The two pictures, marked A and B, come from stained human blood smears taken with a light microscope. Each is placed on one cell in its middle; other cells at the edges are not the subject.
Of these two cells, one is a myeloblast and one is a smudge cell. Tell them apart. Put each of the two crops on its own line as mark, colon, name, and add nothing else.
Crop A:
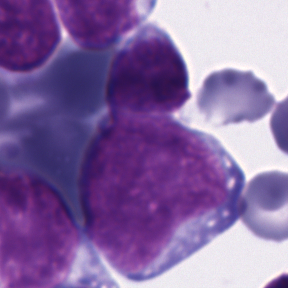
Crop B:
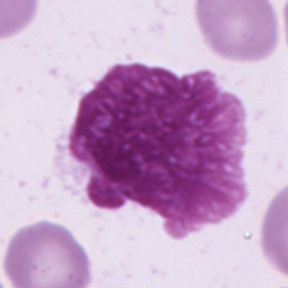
A: myeloblast
B: smudge cell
